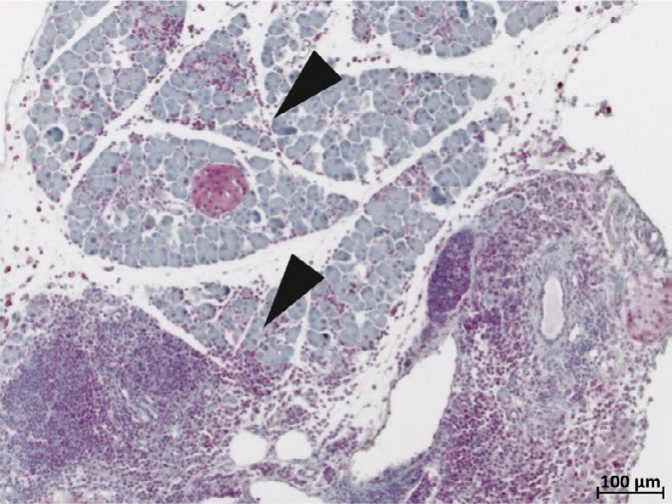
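Pancreatic tissue in which lobules of blue-grey acinar cells are separated by widened spaces and invaded by small, round mononuclear cells stained red. A round, red-stained islet lies within one lobule, and large dense sheets of infiltrating cells fill the lower part of the field around a duct and vessels.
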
